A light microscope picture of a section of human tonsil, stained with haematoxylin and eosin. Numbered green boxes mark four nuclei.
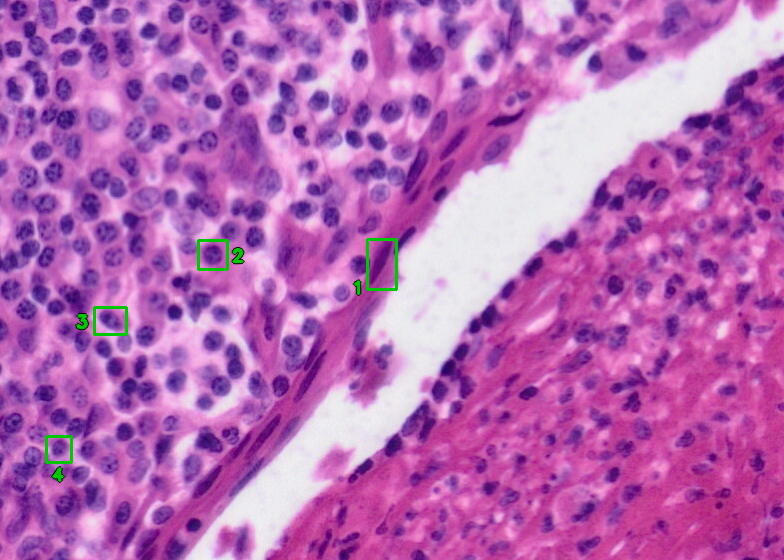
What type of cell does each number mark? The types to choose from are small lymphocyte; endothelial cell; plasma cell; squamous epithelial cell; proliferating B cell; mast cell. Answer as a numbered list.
1. squamous epithelial cell
2. plasma cell
3. plasma cell
4. plasma cell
